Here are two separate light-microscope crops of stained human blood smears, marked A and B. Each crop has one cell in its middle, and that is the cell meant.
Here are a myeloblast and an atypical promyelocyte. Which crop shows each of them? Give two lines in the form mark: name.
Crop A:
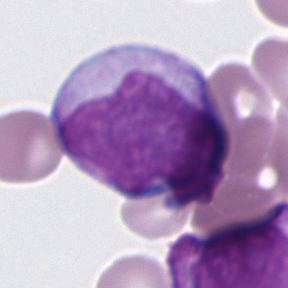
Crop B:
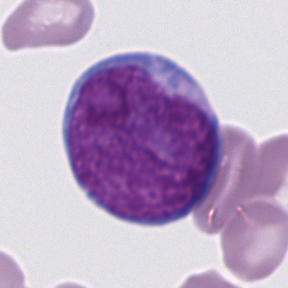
A: atypical promyelocyte
B: myeloblast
